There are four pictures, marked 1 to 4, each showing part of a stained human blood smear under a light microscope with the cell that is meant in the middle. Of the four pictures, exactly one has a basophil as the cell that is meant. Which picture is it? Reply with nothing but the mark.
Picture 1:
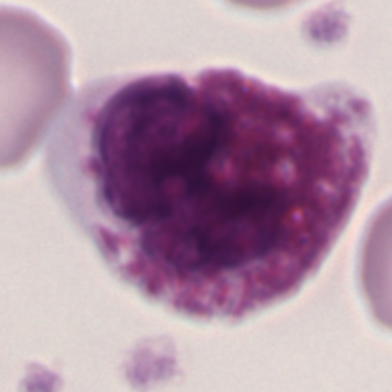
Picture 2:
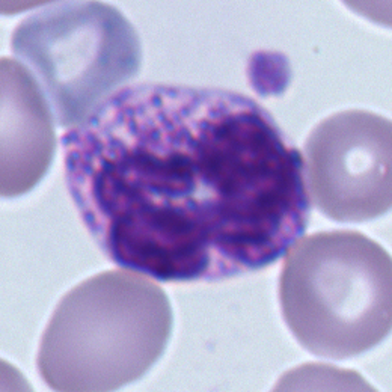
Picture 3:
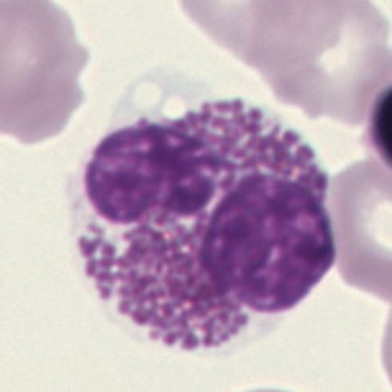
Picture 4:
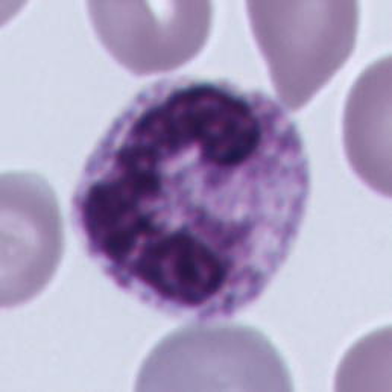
2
